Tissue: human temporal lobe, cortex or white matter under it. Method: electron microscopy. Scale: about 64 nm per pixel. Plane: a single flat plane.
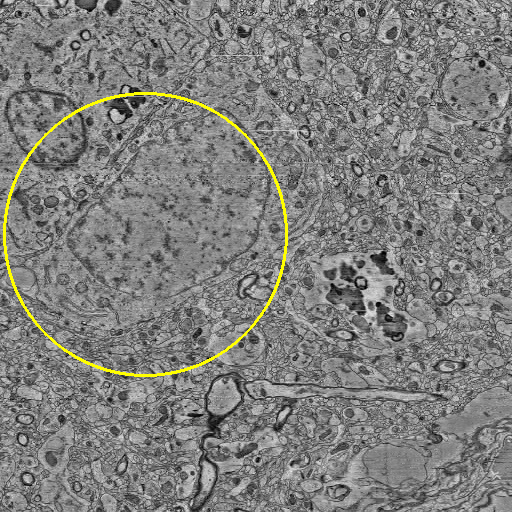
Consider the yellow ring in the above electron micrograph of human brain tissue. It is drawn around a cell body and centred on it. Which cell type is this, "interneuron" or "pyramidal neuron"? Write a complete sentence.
The cell in question is an interneuron.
